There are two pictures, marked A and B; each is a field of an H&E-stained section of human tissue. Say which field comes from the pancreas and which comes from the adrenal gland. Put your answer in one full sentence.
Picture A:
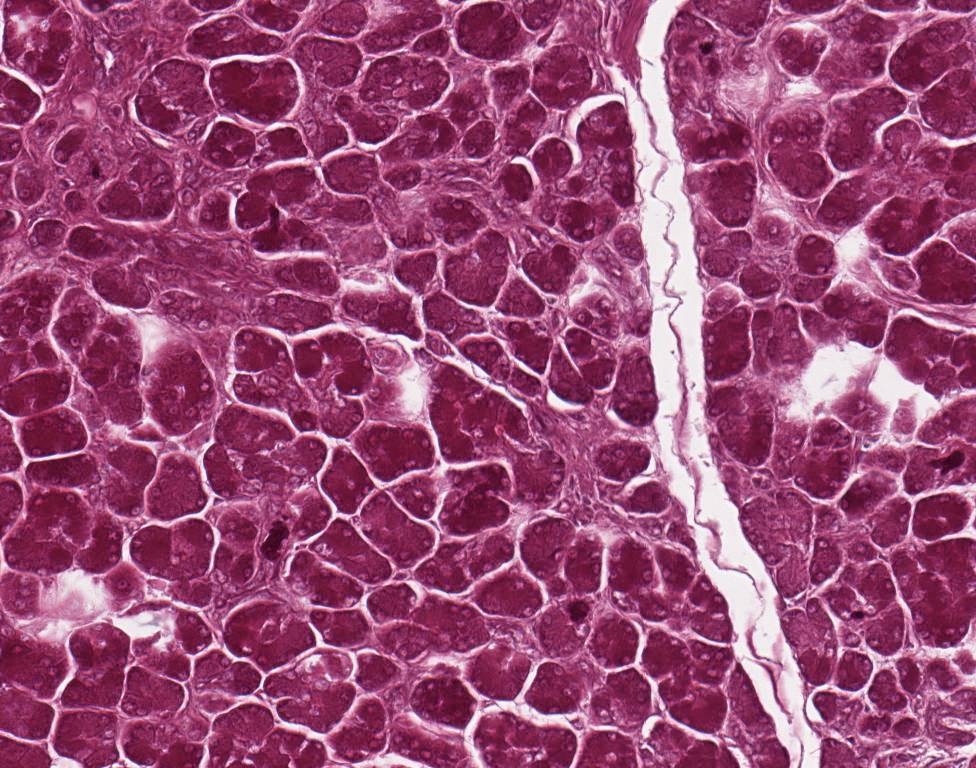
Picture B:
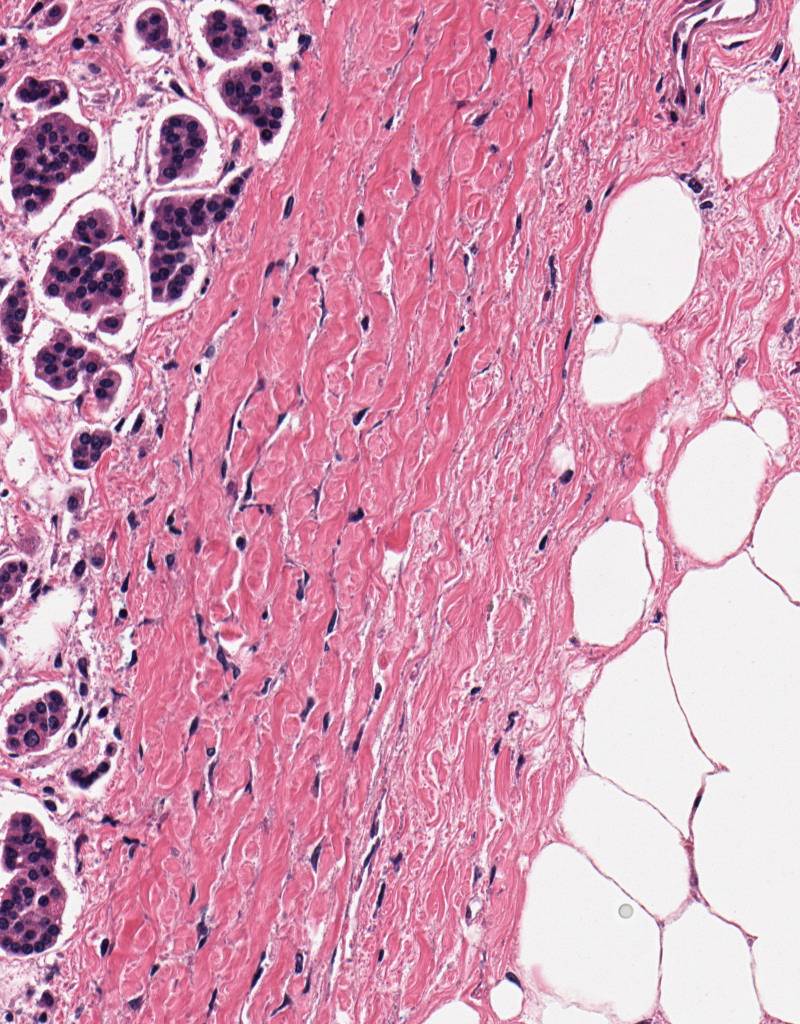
It is picture A that comes from the pancreas, and picture B that comes from the adrenal gland.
